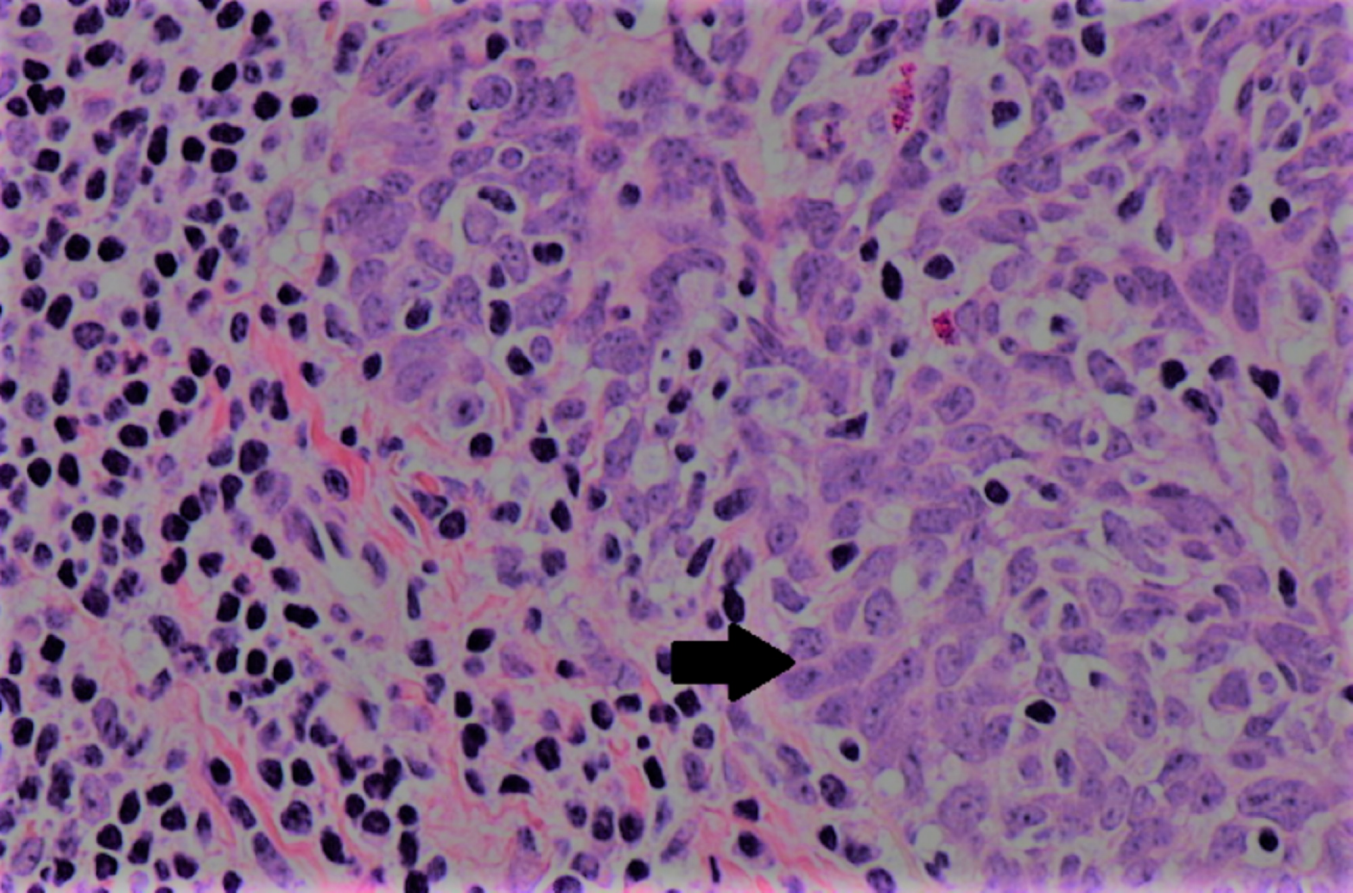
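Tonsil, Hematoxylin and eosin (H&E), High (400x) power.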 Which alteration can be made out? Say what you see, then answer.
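Non-keratinizing squamous cell carcinoma. Sheets of large atypical cells with enlarged oval nuclei and indistinct borders. No pink keratin pearls or keratinized cells are seen. Many small dark lymphocytes lie among and beside the tumor sheets.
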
